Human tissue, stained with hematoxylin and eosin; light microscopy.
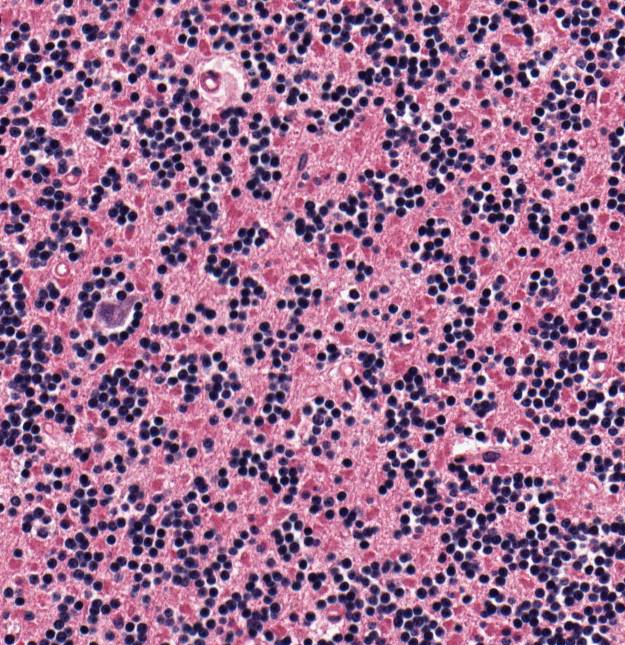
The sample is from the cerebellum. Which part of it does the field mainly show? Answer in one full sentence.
The tissue part this section presents is named granular layer.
